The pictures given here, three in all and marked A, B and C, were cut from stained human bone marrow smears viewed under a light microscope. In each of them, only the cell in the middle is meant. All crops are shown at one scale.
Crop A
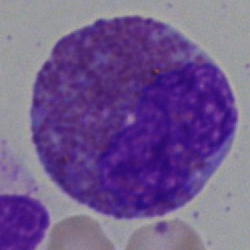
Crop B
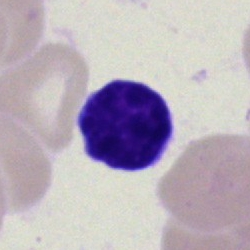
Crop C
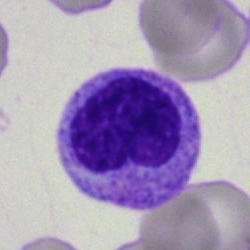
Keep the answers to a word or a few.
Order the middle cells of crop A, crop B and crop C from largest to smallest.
A, C, B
